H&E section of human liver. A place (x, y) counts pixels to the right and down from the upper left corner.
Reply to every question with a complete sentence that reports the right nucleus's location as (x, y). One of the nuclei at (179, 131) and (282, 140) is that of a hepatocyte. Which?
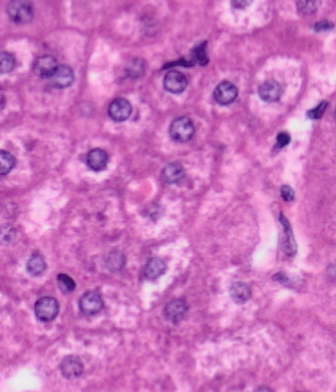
It is the nucleus at (179, 131) that belongs to a hepatocyte.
